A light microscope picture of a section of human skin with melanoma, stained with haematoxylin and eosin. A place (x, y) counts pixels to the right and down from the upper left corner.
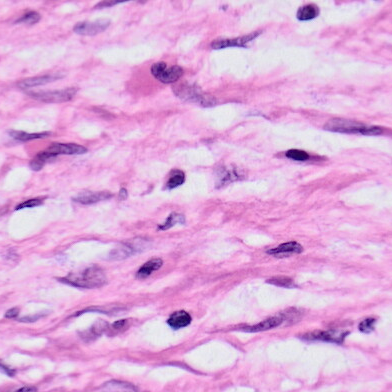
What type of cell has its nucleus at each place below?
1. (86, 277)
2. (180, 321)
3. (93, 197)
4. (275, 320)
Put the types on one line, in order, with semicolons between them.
fibroblast or myofibroblast; lymphocyte; fibroblast or myofibroblast; fibroblast or myofibroblast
